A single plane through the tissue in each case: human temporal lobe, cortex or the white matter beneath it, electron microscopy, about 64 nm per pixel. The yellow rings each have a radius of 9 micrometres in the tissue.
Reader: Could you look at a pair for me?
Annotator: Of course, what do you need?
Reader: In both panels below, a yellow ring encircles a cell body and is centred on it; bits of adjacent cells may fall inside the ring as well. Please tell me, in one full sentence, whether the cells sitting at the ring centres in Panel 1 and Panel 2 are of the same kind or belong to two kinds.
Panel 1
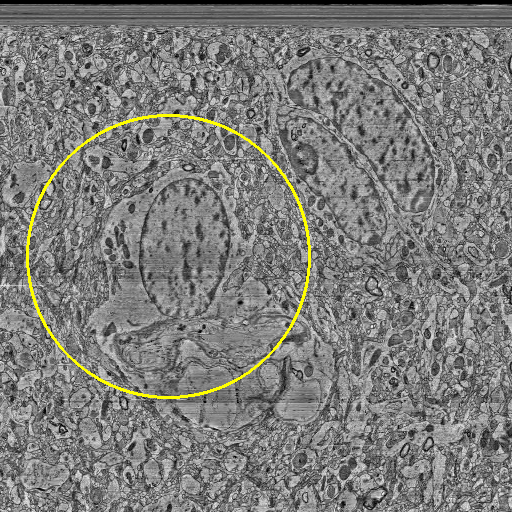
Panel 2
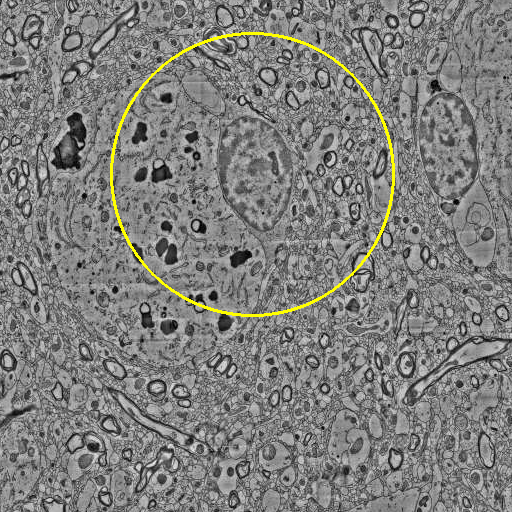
The cell at the ring's centre in Panel 1 and the one in Panel 2 belong to two kinds.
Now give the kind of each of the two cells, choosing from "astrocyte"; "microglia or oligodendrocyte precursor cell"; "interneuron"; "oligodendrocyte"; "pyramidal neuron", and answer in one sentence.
The cell in the first picture is an astrocyte, and the cell in the second is an oligodendrocyte.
